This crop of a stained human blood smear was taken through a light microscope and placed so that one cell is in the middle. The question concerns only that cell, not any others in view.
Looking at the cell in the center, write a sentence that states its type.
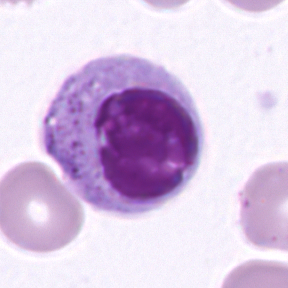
The center cell of this crop is a plasma cell.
